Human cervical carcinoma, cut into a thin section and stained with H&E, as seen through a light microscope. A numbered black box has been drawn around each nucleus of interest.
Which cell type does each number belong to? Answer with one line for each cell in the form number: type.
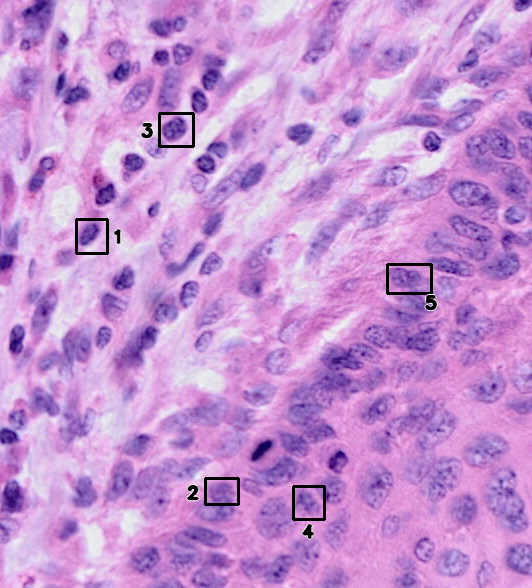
1: lymphocyte
2: squamous carcinoma cell
3: lymphocyte
4: squamous carcinoma cell
5: squamous carcinoma cell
